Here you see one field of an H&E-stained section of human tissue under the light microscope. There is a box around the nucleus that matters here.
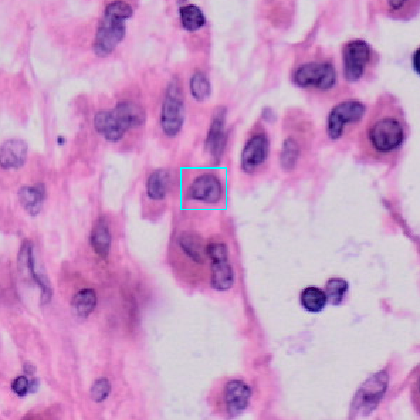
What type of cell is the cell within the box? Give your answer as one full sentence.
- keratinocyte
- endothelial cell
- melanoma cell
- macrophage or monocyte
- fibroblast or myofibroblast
The identity of the cell within the box is that of a macrophage or monocyte.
